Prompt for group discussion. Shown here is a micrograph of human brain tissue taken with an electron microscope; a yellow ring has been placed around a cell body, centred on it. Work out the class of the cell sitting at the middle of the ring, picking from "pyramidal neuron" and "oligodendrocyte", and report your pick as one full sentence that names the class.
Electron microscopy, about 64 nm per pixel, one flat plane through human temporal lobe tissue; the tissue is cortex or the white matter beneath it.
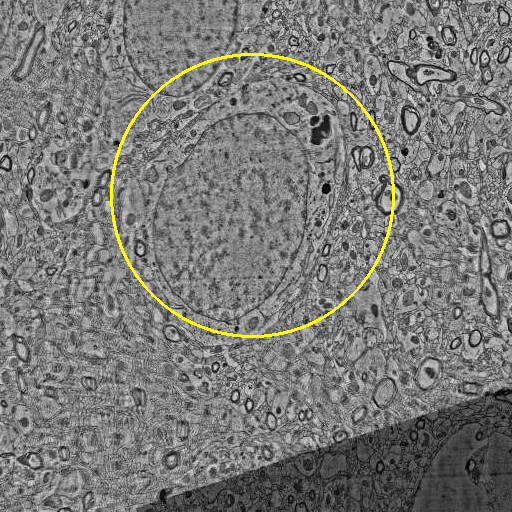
The cell sitting at the middle of the yellow ring is a pyramidal neuron.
